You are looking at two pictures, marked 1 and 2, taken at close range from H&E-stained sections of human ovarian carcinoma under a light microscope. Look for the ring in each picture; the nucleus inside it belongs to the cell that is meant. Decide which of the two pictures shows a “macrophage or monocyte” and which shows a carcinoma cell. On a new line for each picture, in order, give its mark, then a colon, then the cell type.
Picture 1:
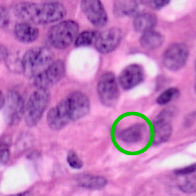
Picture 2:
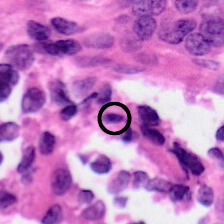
1: carcinoma cell
2: macrophage or monocyte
